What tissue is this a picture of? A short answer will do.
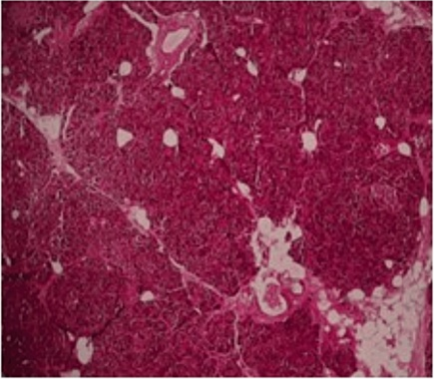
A: Pancreas.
